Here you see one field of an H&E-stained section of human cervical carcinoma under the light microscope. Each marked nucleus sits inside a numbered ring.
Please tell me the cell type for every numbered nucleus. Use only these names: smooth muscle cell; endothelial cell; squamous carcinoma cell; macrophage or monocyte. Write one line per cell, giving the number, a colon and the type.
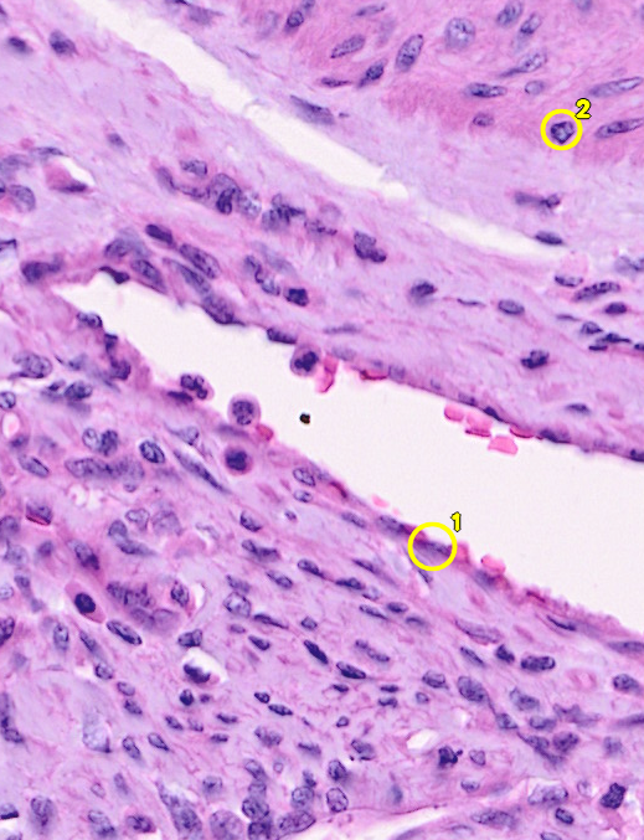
1: endothelial cell
2: smooth muscle cell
